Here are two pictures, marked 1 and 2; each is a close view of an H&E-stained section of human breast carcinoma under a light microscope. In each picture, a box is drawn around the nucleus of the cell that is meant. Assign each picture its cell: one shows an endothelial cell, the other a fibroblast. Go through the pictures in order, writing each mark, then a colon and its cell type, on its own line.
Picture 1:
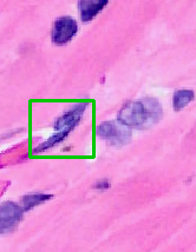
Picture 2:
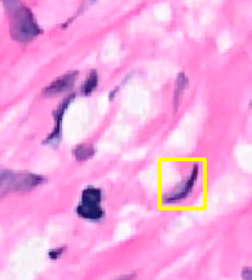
1: endothelial cell
2: fibroblast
